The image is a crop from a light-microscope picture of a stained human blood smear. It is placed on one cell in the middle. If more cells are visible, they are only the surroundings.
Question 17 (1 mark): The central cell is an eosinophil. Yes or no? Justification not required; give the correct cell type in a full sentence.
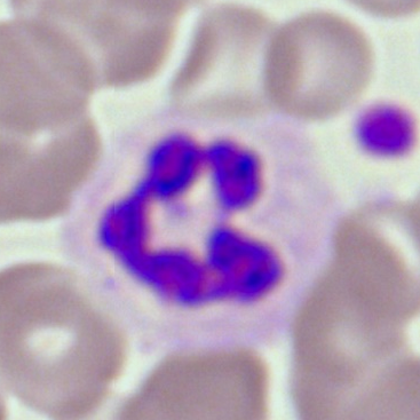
No, the central cell is a segmented neutrophil, not an eosinophil.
